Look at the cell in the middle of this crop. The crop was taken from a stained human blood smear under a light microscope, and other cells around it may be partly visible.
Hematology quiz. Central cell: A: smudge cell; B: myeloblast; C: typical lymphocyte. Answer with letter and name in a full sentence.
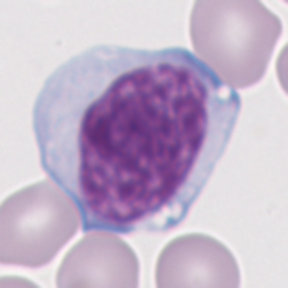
The centrally positioned cell is a myeloblast, consistent with option B, which is correct.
